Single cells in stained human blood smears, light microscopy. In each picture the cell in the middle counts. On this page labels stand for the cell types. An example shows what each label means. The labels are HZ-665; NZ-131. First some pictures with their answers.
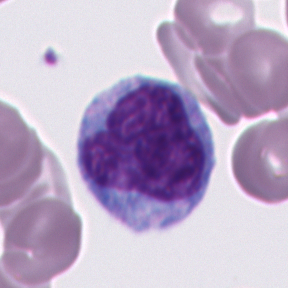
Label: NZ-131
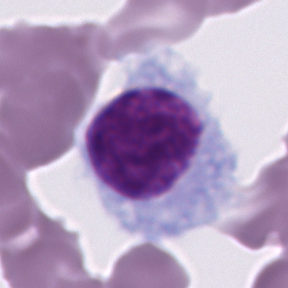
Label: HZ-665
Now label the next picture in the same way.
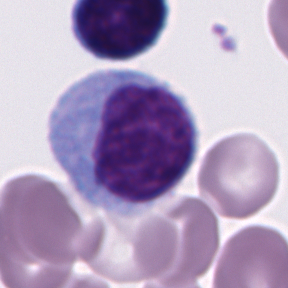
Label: NZ-131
